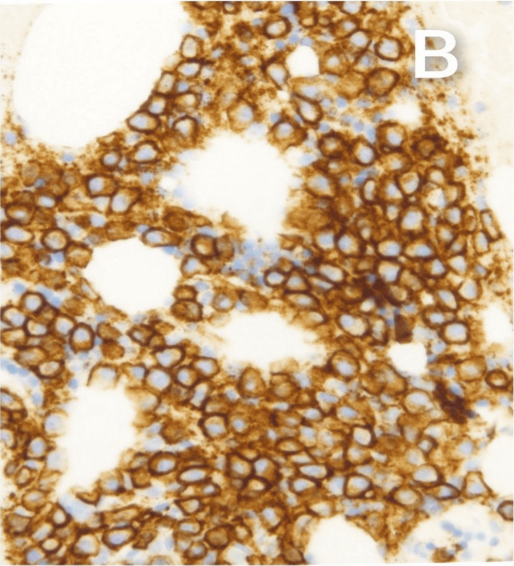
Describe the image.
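The brown lies as a sharp ring at the edge of each cell, so the cells look like a honeycomb of brown rings. Inside each ring the nucleus is pale blue. The brown-ringed cells crowd the spaces between several large, empty fat spaces.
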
